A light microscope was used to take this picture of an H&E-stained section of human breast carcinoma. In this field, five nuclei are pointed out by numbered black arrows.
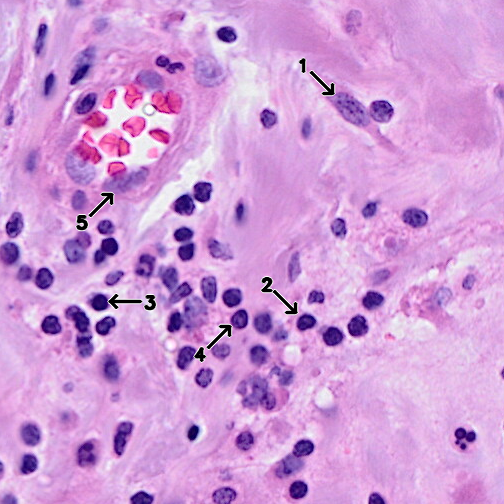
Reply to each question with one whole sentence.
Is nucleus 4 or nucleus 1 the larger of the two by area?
At about 2.5 times the area of nucleus 4, nucleus 1 is the larger of the two.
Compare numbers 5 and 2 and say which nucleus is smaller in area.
The smaller nucleus is 2, and 5 covers roughly 3 times its area.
